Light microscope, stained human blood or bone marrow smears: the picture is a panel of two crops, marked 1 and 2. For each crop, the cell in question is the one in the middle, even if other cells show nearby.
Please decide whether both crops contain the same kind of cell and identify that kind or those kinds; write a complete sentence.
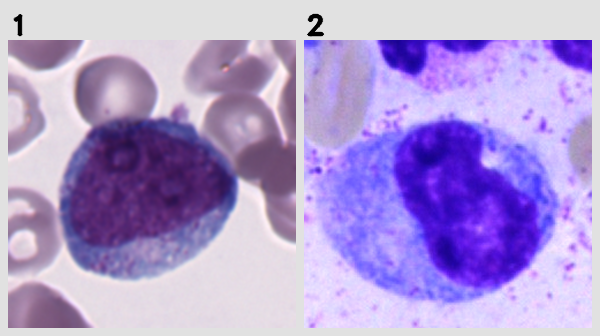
No, crop 1 depicts a promyelocyte; crop 2 depicts a monocyte.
